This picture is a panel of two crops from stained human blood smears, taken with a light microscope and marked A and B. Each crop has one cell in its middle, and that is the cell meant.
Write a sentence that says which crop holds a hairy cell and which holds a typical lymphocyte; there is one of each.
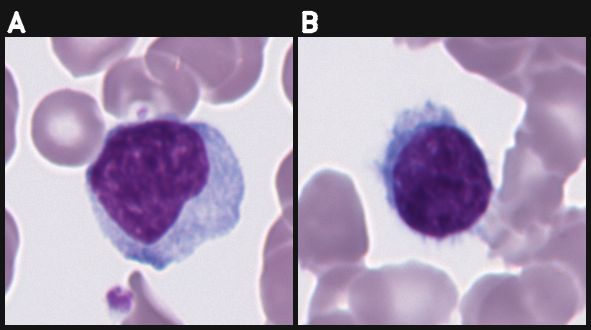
For crop A the cell is a typical lymphocyte, and for crop B it is a hairy cell.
